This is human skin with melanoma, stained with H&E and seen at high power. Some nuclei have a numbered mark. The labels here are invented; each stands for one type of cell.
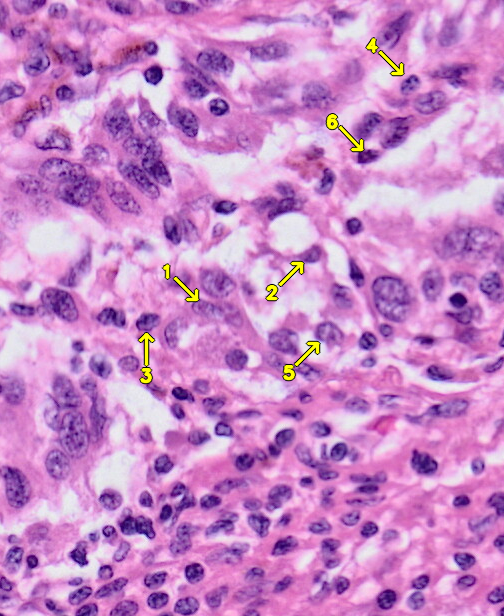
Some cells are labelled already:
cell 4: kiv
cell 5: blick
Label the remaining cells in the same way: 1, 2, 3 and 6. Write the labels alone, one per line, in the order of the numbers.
blick
blick
kiv
blick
